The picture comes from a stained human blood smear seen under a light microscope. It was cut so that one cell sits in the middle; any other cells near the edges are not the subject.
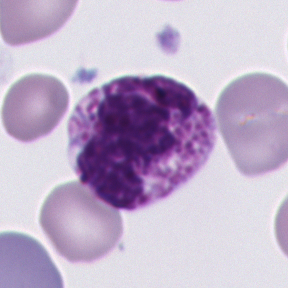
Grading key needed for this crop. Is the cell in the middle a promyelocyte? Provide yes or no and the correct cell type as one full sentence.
No, the middle cell is not a promyelocyte, it being a basophil.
